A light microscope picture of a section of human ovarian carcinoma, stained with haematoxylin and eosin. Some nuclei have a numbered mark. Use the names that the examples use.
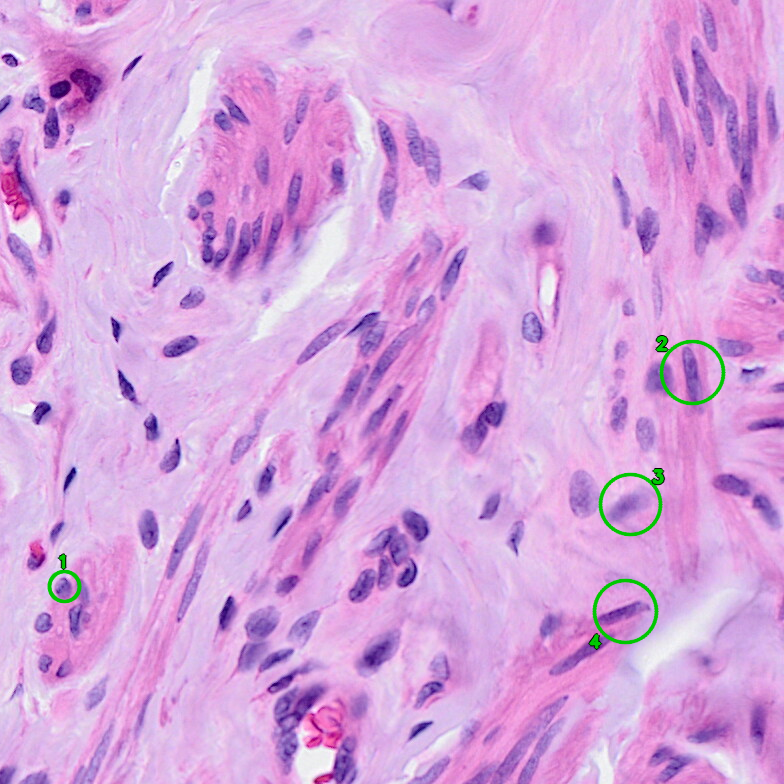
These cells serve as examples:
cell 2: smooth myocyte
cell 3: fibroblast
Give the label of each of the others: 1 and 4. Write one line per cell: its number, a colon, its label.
1: smooth myocyte
4: smooth myocyte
